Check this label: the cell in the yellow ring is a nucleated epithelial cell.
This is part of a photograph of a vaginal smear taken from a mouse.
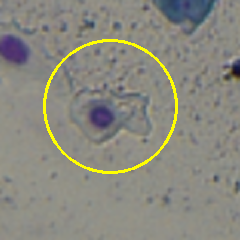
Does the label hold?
The label holds; the cell is a nucleated epithelial cell.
